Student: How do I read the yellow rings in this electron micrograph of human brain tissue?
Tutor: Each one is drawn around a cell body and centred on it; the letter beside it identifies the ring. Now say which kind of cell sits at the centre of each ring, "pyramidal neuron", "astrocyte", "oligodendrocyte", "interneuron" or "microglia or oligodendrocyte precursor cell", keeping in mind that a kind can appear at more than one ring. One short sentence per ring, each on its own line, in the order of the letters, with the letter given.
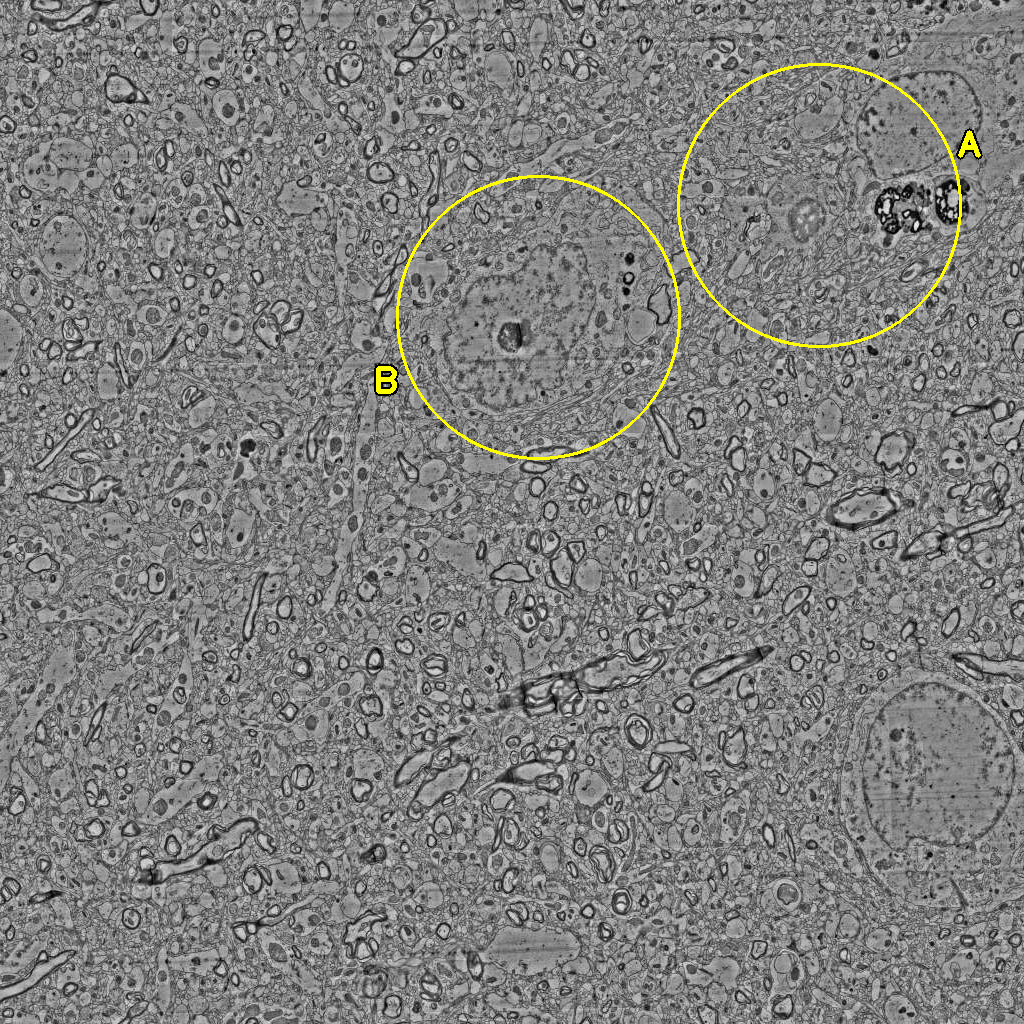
In the centre of ring A is an oligodendrocyte.
In the centre of ring B is an interneuron.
